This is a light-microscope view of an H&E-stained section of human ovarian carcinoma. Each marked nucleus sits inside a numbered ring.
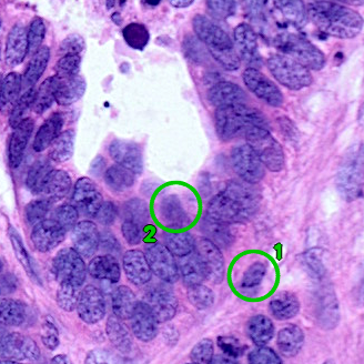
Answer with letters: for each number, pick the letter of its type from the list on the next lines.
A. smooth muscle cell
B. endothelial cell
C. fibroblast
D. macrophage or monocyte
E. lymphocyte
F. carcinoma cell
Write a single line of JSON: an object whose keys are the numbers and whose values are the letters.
{"1": "D", "2": "F"}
